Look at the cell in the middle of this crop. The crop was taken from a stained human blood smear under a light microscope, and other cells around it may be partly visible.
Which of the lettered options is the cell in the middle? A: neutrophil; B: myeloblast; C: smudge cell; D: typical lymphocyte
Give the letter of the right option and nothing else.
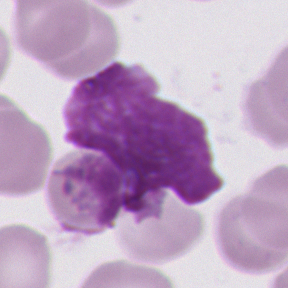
C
